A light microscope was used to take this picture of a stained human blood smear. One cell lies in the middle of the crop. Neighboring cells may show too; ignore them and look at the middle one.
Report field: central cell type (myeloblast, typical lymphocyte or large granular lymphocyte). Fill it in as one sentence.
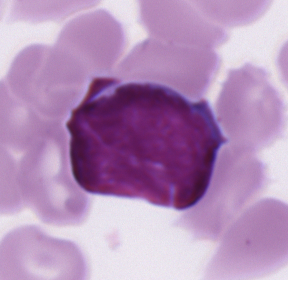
Framed in the middle of the crop is a myeloblast.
